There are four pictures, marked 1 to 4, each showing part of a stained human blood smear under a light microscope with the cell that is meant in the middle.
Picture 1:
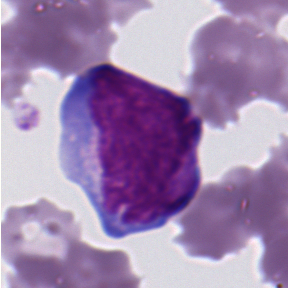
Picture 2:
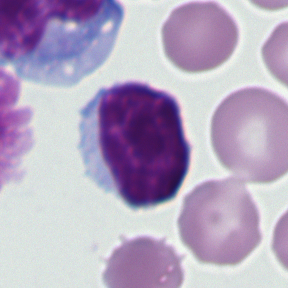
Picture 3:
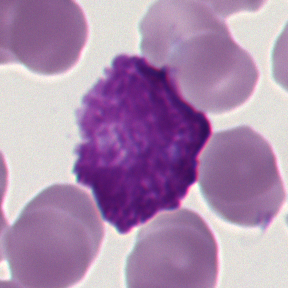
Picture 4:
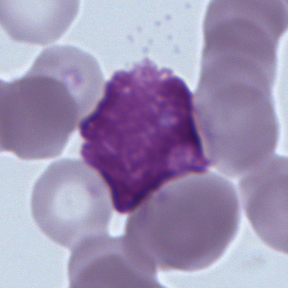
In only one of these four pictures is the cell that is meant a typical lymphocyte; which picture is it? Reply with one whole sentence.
The typical lymphocyte is the one in picture 2.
